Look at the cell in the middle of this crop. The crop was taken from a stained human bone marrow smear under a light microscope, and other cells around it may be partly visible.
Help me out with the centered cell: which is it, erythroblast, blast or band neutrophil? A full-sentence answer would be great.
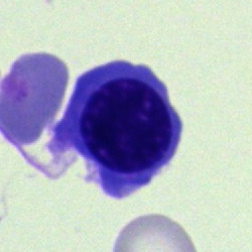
The crop centres on a single cell, and that cell is an erythroblast.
